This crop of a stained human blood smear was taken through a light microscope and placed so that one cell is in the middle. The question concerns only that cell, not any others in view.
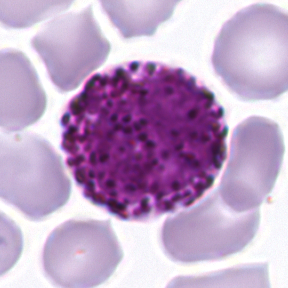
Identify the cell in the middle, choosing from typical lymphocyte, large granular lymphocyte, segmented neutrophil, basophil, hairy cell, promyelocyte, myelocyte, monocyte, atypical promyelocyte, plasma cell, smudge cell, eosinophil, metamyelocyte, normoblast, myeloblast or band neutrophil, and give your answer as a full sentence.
The cell of interest, located centrally, is a basophil.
